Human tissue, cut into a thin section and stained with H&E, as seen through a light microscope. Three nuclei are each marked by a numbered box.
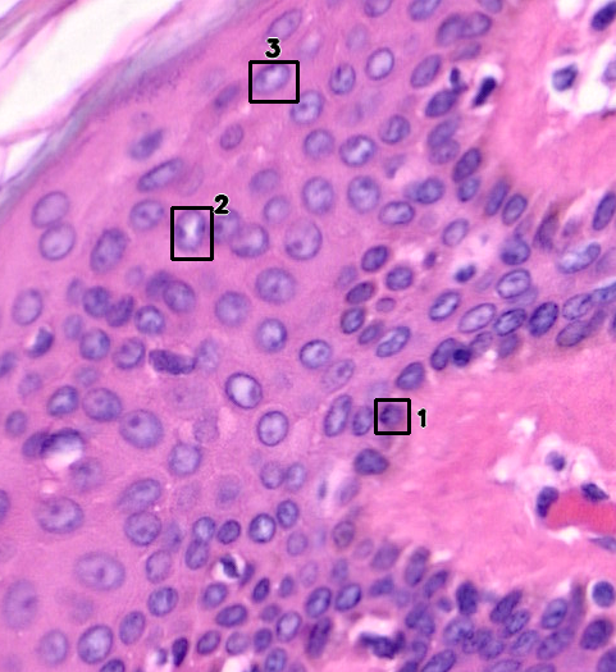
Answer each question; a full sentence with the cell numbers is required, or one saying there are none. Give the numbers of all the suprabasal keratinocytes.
The cells numbered 2 and 3 are, by type, suprabasal keratinocytes.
